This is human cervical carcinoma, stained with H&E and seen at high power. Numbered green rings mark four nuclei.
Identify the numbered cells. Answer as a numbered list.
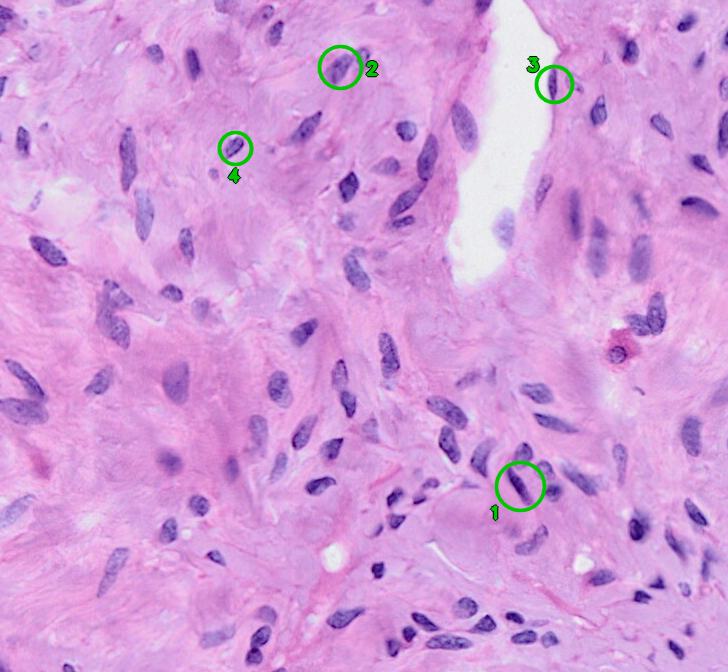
1. fibroblast
2. fibroblast
3. endothelial cell
4. fibroblast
